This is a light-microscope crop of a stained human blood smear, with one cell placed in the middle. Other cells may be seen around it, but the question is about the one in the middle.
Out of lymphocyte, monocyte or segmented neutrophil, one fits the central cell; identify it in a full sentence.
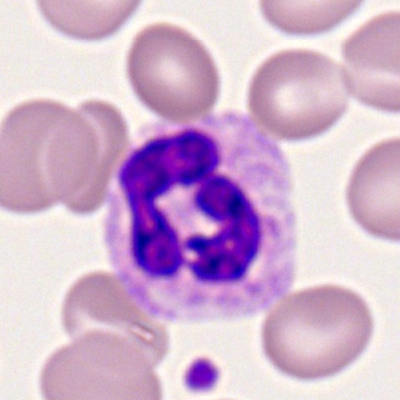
The cell at the central position in this crop is a segmented neutrophil.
